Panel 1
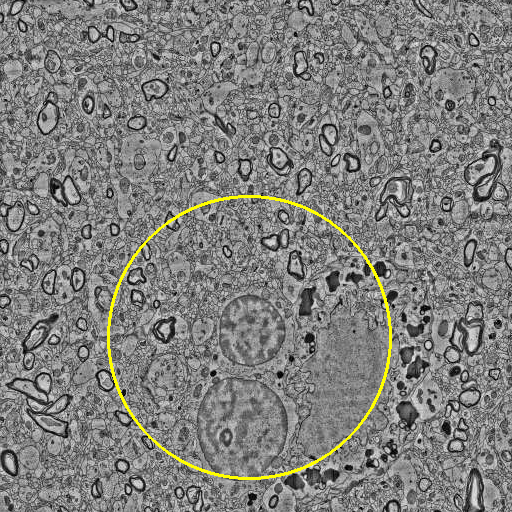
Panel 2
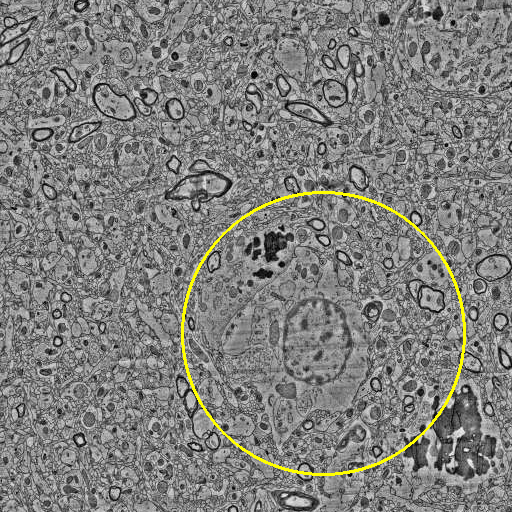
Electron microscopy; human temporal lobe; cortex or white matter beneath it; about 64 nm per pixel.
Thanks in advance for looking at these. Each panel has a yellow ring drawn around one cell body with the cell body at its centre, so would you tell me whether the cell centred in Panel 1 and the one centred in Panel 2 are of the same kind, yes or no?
no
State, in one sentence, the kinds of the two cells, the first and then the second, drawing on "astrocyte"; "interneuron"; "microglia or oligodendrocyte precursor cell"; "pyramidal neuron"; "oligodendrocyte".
The ring in the second picture is centred on an astrocyte, the ring in the first on an oligodendrocyte.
